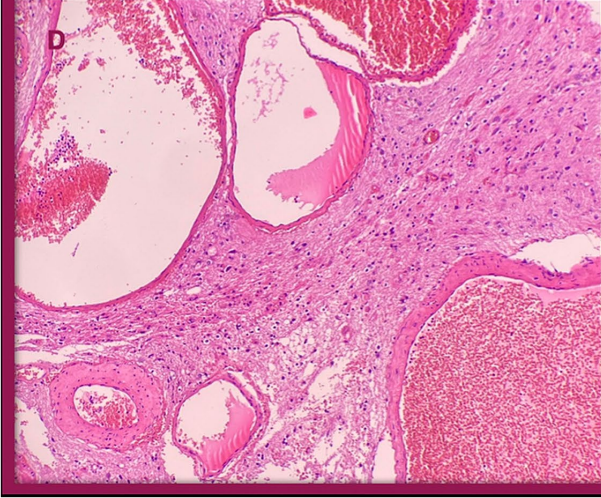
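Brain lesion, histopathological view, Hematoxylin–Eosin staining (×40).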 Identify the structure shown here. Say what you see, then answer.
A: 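Several large vessels lie close together, many filled with red blood cells. Most vessels have wide open lumens. One vessel at lower left has a thicker, layered wall than the thin-walled others.
Cluster of arterial and venous vessels with dilated lumens.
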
